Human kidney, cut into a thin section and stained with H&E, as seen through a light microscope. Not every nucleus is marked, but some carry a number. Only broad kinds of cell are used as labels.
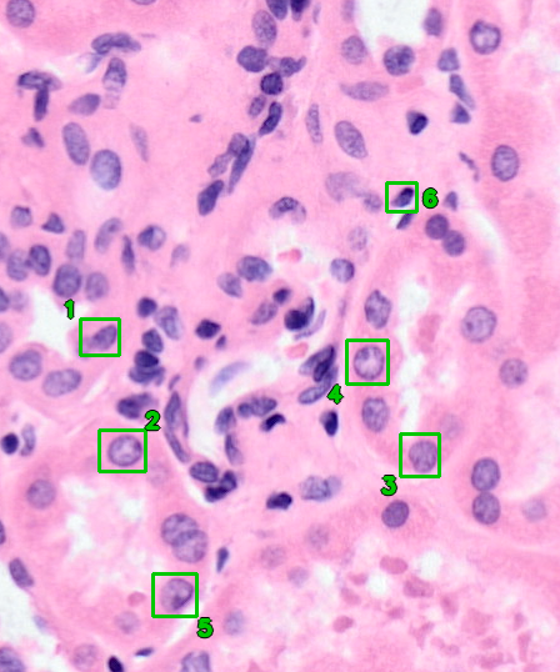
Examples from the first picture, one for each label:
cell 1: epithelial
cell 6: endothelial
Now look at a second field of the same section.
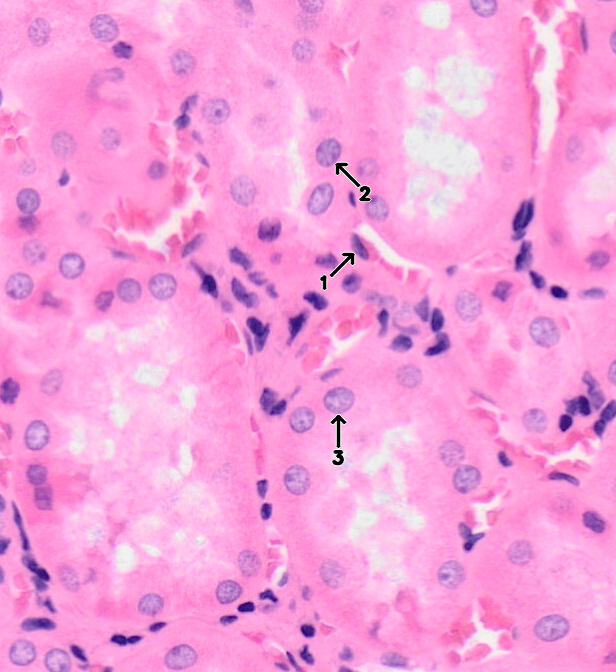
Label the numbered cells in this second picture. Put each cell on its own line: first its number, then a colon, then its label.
1: endothelial
2: epithelial
3: epithelial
